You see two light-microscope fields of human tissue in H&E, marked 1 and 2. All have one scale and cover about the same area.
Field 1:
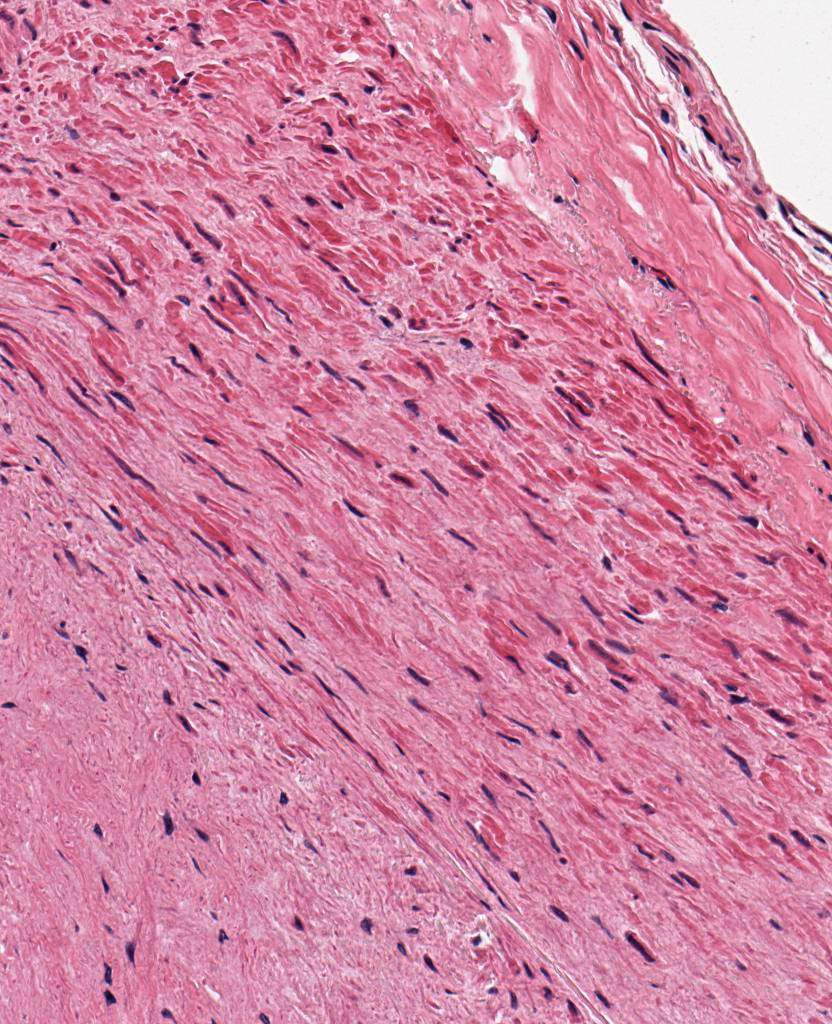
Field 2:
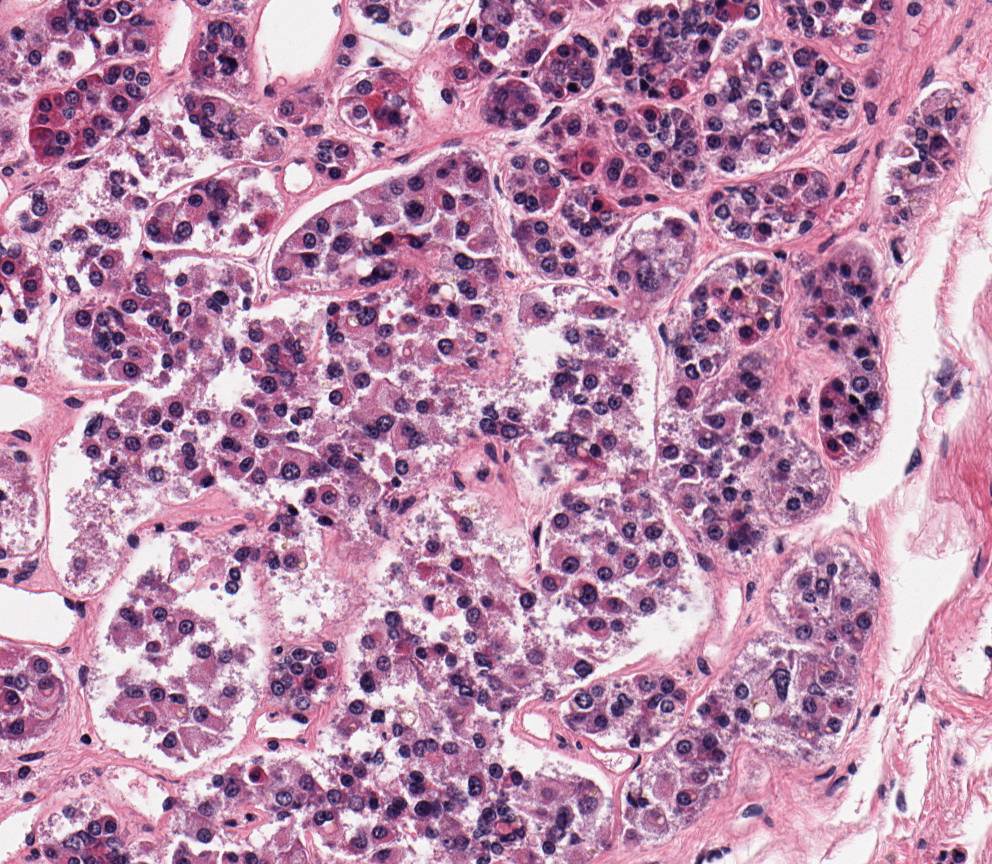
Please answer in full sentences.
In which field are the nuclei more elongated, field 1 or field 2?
It is field 1 whose nuclei are the more elongated.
